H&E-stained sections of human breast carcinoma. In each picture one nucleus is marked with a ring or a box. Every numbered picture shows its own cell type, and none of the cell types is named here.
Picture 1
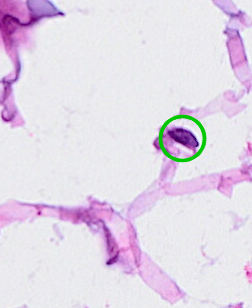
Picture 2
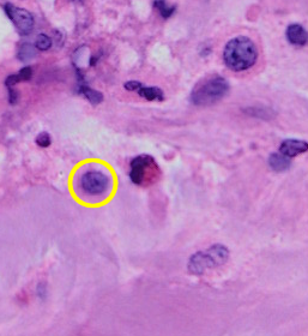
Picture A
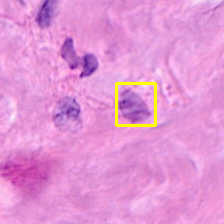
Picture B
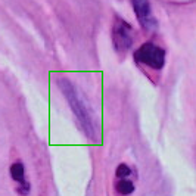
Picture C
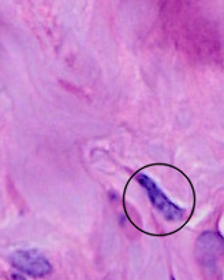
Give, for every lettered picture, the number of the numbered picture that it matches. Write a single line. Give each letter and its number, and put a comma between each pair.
A 1, B 1, C 1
